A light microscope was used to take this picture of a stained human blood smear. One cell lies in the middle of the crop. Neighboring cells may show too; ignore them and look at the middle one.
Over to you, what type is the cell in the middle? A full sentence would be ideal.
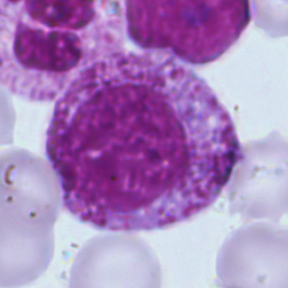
The central cell, amid any neighbouring cells, is a myelocyte.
